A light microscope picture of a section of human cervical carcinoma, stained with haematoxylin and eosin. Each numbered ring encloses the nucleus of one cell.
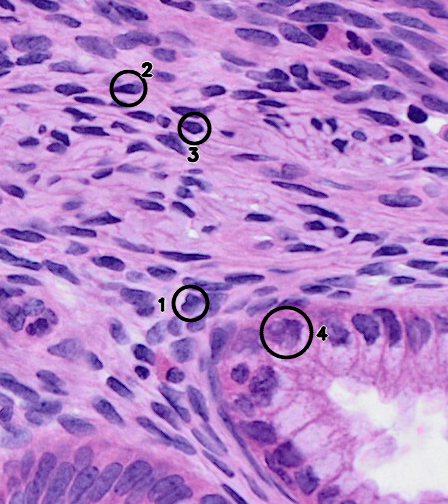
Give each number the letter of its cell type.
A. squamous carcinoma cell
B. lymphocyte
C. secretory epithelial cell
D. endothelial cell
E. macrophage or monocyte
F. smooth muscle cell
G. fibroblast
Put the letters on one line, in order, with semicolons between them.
G; G; G; C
